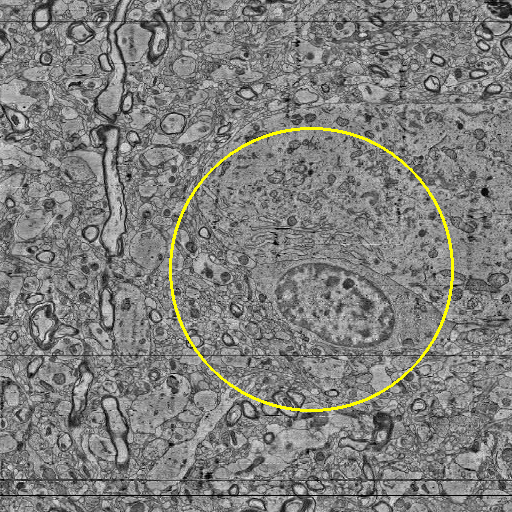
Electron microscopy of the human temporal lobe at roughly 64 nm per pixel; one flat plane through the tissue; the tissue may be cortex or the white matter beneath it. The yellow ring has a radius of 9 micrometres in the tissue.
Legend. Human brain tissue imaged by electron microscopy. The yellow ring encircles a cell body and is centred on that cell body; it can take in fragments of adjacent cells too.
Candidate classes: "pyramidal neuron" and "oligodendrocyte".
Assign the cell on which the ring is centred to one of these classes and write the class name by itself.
oligodendrocyte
